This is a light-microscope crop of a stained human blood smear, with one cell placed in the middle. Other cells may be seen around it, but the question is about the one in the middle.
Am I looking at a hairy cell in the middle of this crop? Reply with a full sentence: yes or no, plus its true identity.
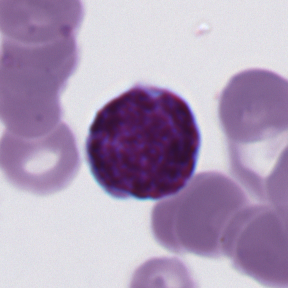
No, that guess of a hairy cell misses; the central cell is a myeloblast.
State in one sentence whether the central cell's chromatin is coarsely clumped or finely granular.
Answer: the chromatin in this nucleus is coarsely clumped.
